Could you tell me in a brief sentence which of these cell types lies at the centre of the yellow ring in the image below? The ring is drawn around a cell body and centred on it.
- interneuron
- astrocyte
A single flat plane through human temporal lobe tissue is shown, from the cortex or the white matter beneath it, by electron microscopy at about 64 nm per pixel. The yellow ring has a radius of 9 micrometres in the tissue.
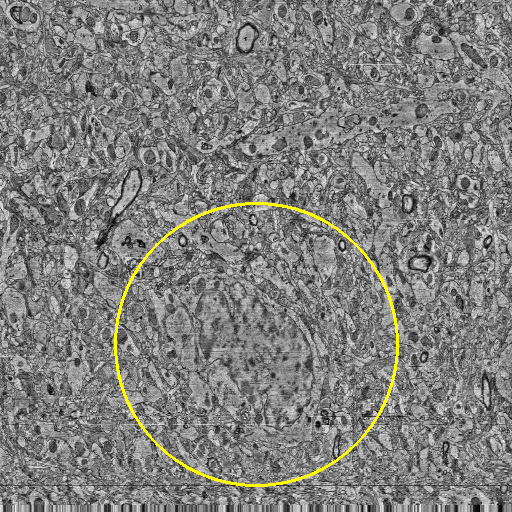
The cell centred in the ring is an interneuron.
